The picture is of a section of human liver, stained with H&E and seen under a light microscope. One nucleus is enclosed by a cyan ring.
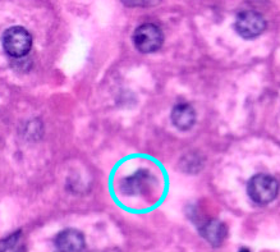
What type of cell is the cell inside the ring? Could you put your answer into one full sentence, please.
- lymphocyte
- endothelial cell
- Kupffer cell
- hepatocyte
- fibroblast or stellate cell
Typologically, the cell inside the ring is an endothelial cell in this section.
